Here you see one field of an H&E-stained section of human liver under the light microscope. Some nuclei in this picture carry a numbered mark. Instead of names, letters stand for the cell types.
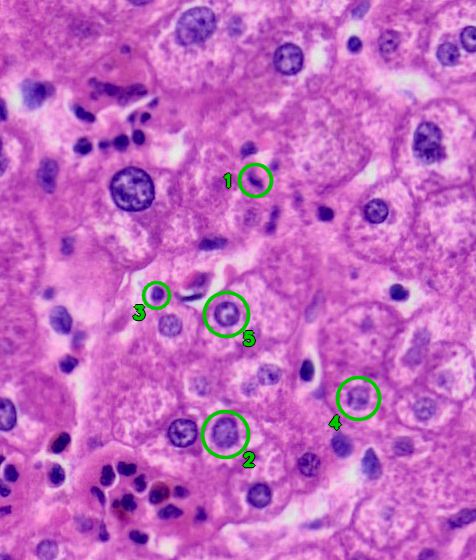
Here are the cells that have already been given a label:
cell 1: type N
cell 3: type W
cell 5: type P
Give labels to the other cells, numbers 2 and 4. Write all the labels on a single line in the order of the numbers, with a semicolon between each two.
type P; type P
